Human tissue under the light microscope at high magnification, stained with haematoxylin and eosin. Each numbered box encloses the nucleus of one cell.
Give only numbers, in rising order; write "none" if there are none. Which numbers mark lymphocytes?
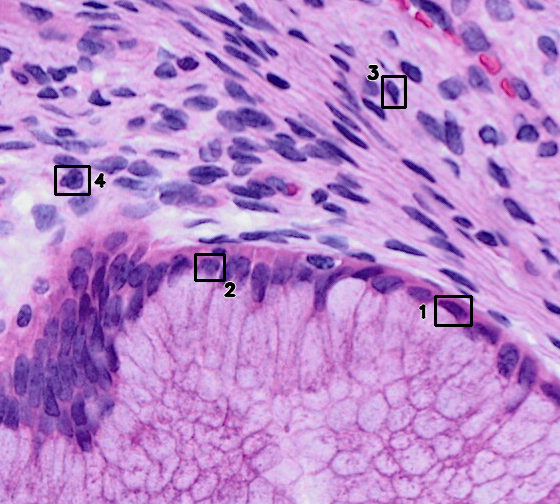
4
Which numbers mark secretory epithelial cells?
1, 2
